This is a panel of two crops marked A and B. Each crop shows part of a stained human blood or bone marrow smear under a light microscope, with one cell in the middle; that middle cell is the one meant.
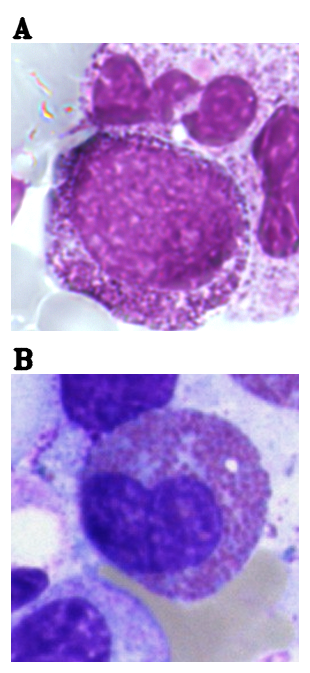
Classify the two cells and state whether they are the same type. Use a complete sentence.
No, mark crop A as a promyelocyte and crop B as an eosinophil.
